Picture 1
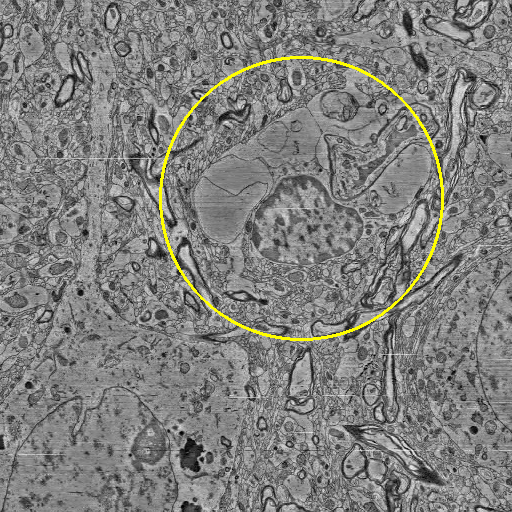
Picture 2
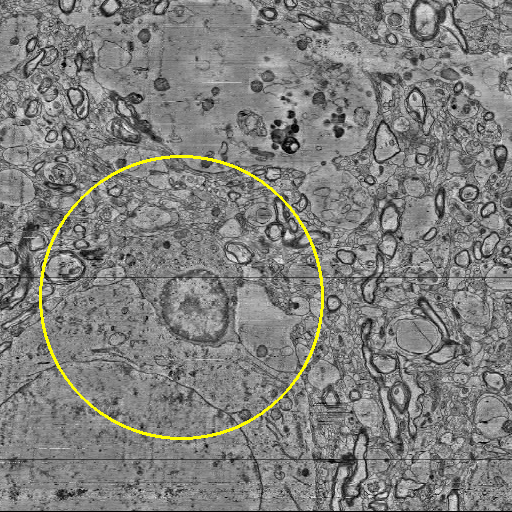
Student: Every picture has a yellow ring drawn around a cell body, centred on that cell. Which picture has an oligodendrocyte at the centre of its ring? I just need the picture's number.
2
